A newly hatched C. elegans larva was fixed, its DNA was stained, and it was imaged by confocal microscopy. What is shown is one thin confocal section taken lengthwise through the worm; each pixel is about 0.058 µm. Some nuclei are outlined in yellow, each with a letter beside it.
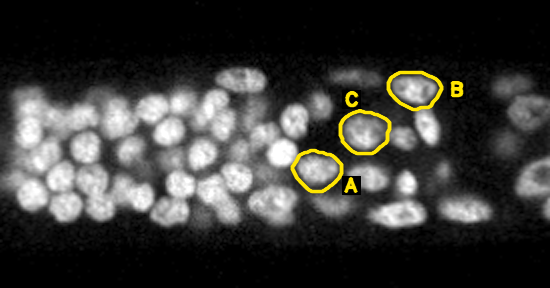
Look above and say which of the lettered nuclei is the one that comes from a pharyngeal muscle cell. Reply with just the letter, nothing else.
A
